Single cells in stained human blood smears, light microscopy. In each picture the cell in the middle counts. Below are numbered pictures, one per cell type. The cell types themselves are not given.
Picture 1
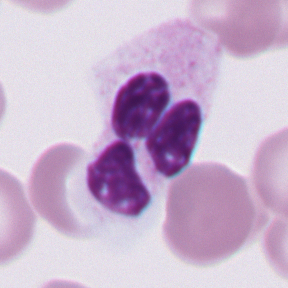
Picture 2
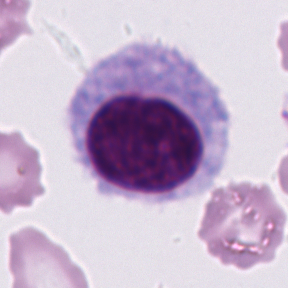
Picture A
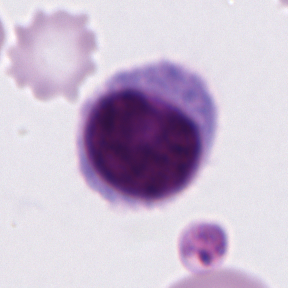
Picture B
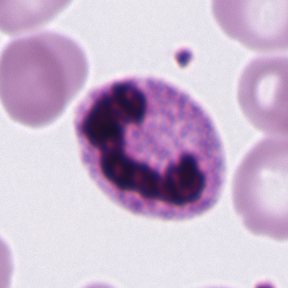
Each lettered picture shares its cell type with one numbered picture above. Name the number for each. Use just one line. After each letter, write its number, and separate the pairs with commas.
A 2, B 1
